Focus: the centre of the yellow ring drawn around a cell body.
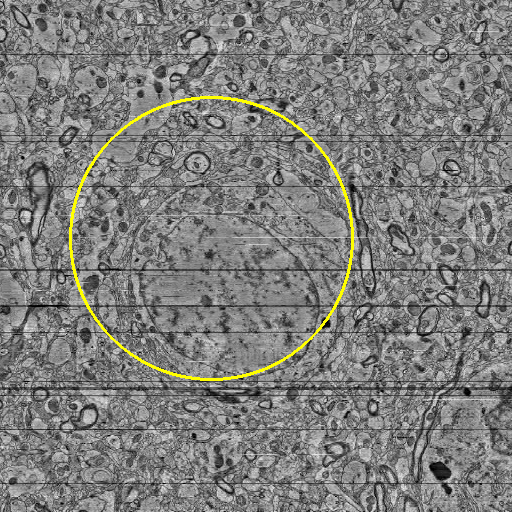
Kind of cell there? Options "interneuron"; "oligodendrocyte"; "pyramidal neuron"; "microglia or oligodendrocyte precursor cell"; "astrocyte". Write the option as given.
pyramidal neuron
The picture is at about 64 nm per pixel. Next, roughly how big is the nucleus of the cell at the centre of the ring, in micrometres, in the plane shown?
The nucleus comes to roughly 12 by 10 micrometres in this plane.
